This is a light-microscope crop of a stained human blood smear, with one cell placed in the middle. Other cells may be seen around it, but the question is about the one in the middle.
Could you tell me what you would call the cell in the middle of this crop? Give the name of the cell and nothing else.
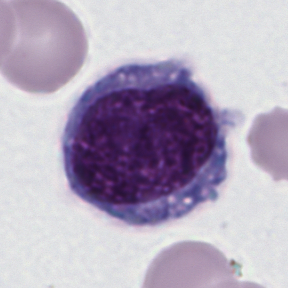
plasma cell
